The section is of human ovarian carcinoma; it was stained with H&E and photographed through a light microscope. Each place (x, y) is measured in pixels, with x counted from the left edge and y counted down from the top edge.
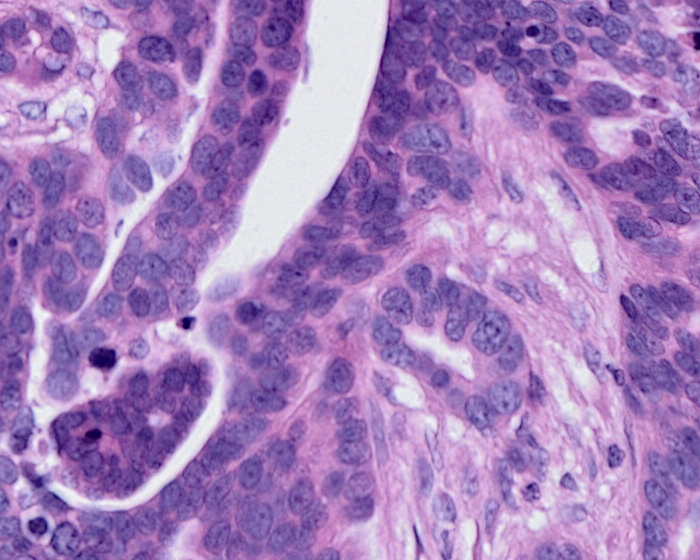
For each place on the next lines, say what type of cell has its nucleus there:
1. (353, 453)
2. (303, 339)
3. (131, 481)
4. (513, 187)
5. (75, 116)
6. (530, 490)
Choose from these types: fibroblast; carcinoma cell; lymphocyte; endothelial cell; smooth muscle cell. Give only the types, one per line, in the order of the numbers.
carcinoma cell
carcinoma cell
carcinoma cell
fibroblast
fibroblast
lymphocyte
